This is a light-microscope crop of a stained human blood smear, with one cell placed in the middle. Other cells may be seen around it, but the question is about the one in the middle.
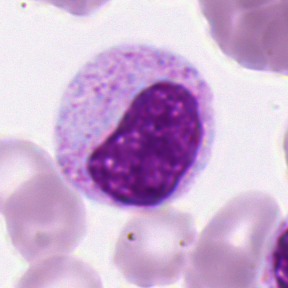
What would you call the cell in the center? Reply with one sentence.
Located at the centre of the crop is a metamyelocyte.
